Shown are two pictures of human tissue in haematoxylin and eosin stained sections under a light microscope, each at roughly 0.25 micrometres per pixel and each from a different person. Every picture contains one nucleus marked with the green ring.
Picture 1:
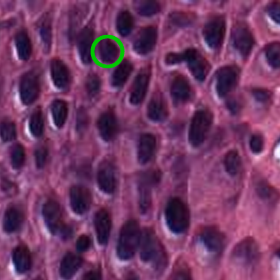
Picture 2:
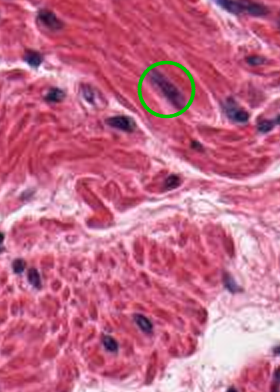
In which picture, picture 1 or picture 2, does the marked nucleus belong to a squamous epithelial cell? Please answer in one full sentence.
The marked nucleus in picture 1 belongs to a squamous epithelial cell.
